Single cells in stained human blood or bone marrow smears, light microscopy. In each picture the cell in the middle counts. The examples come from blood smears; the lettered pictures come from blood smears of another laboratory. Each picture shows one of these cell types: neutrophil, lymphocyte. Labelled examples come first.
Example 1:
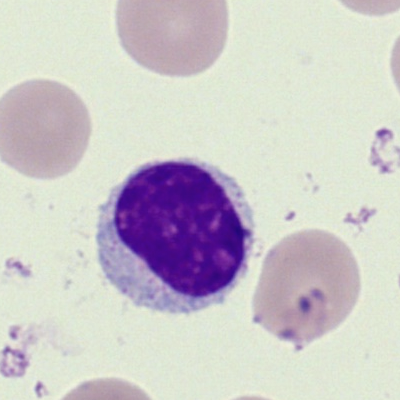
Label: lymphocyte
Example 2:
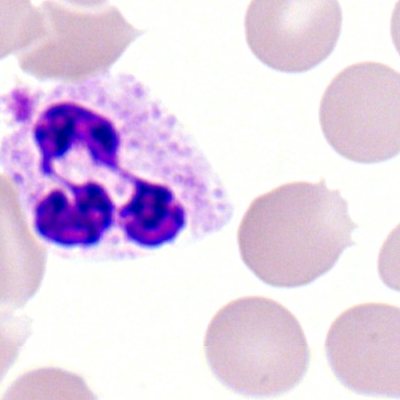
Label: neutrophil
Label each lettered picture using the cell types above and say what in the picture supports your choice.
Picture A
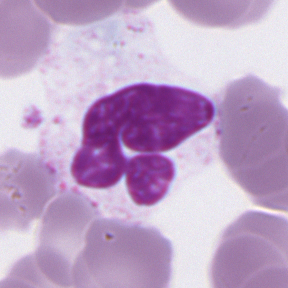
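neutrophil. Reason: The nucleus is divided into three lobes.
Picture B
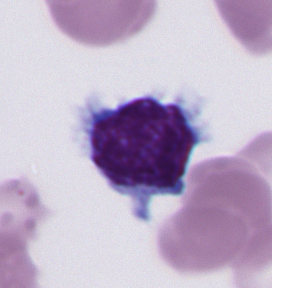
lymphocyte. Reason: The cytoplasm is scant and pale blue.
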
